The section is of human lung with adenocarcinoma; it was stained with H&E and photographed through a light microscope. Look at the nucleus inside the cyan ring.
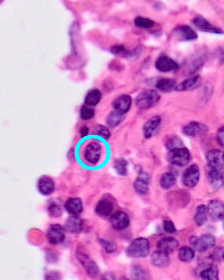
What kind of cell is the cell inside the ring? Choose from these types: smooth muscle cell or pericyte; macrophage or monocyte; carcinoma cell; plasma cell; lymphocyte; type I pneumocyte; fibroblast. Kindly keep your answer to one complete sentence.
By its classification, the cell inside the ring is a lymphocyte.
